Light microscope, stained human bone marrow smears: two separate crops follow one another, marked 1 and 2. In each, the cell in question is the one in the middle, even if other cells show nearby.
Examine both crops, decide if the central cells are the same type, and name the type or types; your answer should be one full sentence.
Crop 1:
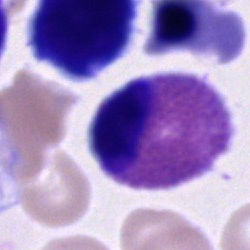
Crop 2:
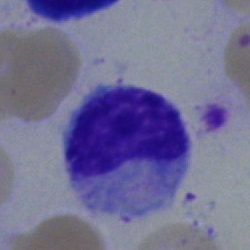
No, in fact crop 1 shows an eosinophil, and crop 2 shows a metamyelocyte.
